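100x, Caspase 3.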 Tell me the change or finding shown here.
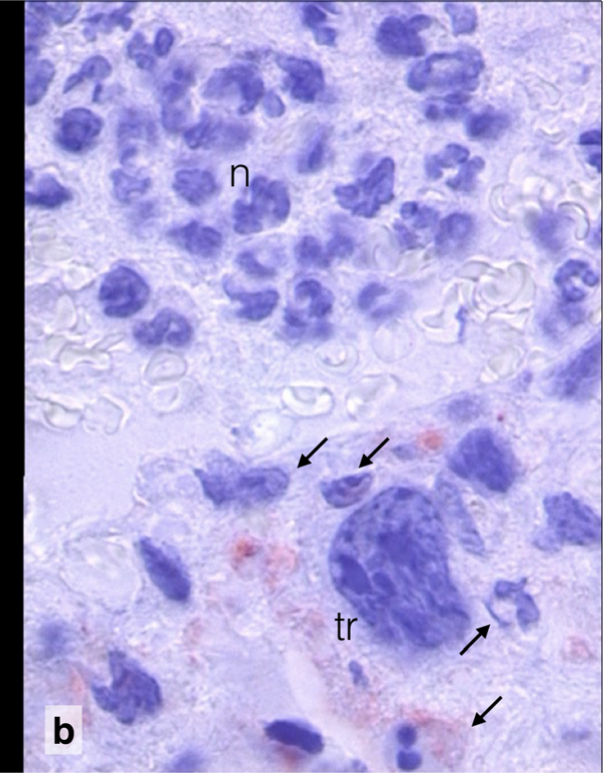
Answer: Purulent focus.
